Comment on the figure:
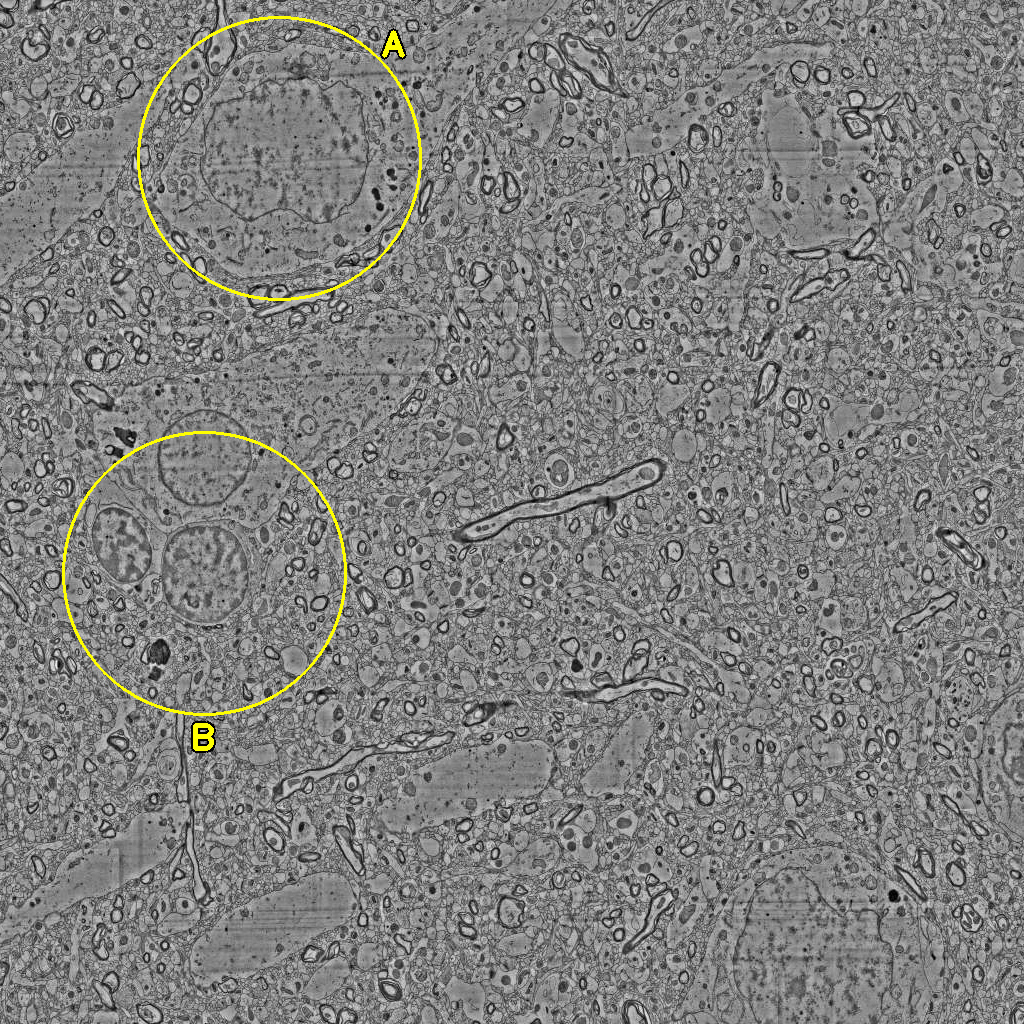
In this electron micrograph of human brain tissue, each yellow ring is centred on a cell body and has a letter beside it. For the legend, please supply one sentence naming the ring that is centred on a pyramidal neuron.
Ring A is centred on that cell.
